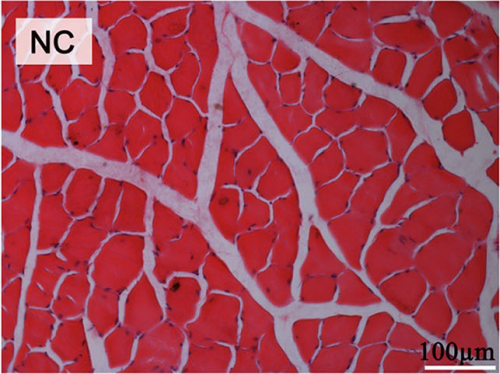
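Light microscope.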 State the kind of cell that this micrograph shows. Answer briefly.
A: muscle fiber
